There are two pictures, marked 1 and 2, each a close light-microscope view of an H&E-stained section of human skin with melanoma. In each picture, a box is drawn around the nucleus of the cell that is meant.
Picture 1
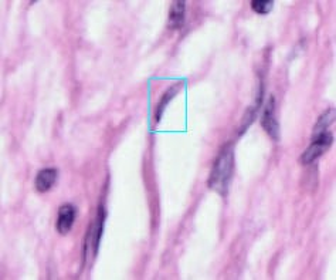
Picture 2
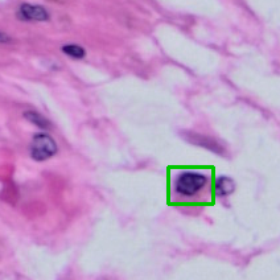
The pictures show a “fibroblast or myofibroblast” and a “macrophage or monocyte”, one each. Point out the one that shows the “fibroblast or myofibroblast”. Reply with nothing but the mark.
1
